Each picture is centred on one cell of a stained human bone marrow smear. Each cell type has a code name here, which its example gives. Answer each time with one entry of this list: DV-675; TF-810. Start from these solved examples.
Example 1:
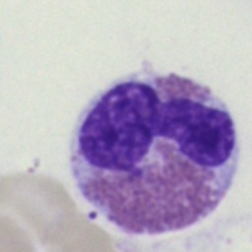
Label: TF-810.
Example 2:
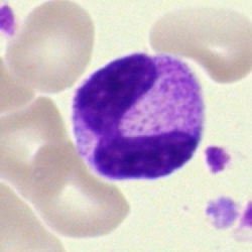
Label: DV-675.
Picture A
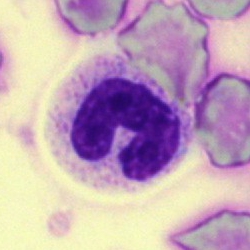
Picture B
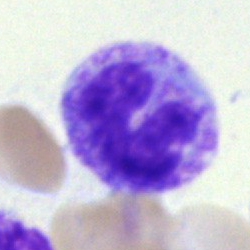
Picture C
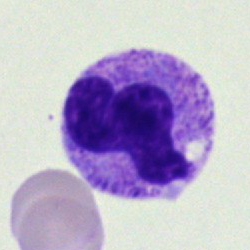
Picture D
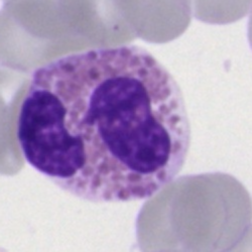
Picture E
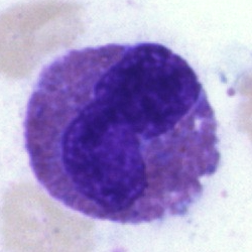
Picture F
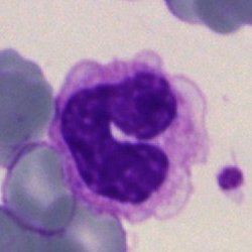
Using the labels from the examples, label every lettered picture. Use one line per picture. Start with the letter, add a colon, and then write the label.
A: DV-675.
B: DV-675.
C: DV-675.
D: TF-810.
E: TF-810.
F: DV-675.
